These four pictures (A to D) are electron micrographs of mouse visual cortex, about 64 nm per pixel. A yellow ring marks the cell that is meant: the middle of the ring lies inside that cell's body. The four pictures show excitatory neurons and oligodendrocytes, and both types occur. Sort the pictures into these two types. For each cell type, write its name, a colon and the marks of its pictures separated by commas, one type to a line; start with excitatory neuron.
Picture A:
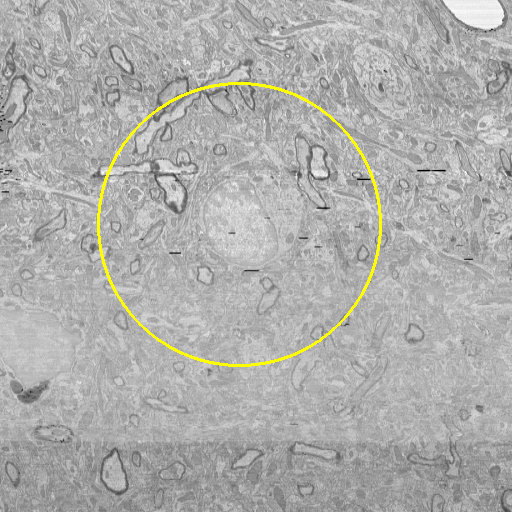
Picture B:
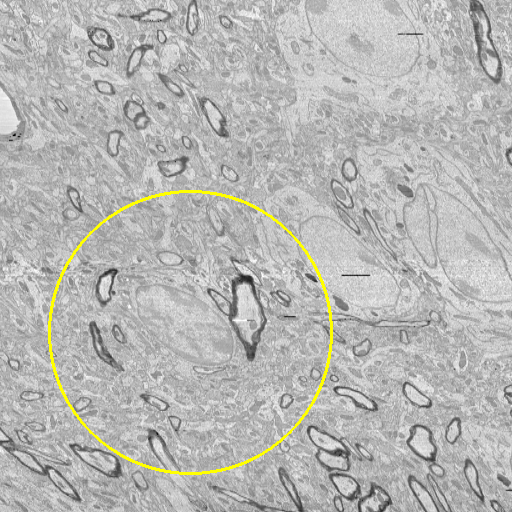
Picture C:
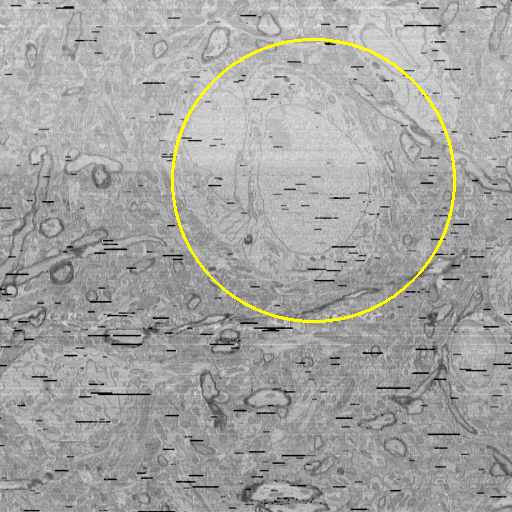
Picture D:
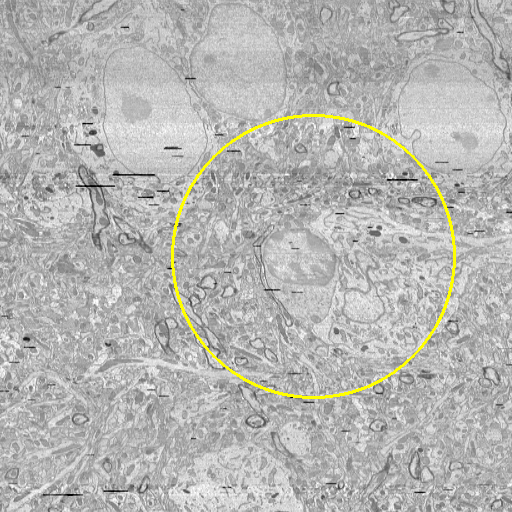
excitatory neuron: C
oligodendrocyte: A, B, D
